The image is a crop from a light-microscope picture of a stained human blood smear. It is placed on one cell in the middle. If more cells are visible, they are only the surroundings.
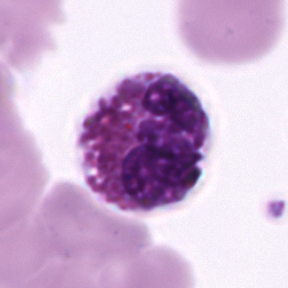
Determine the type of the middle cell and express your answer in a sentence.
Present in the middle of the crop is an eosinophil.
